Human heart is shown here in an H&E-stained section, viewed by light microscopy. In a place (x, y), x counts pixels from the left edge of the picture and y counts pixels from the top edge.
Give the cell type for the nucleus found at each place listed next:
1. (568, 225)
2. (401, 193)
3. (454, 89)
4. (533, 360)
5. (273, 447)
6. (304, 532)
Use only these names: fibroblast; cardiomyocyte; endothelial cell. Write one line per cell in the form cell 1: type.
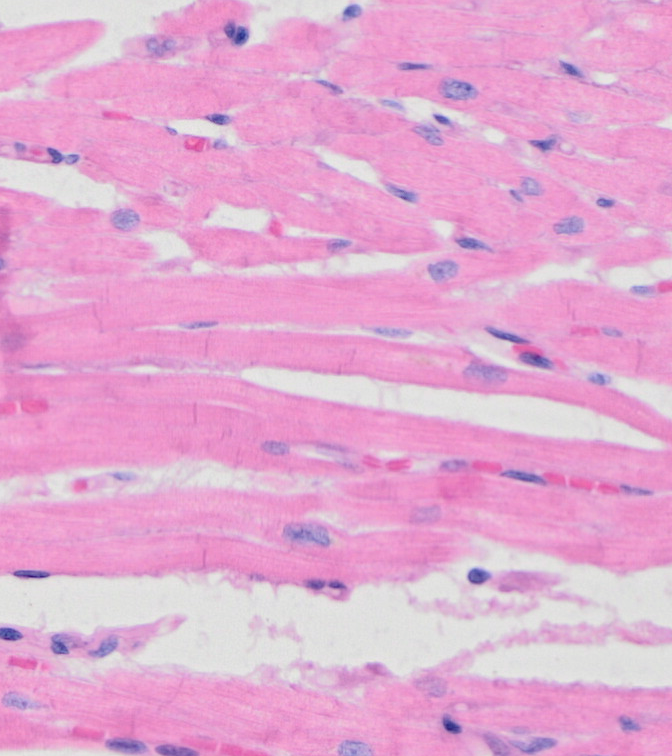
cell 1: cardiomyocyte
cell 2: endothelial cell
cell 3: cardiomyocyte
cell 4: endothelial cell
cell 5: cardiomyocyte
cell 6: cardiomyocyte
